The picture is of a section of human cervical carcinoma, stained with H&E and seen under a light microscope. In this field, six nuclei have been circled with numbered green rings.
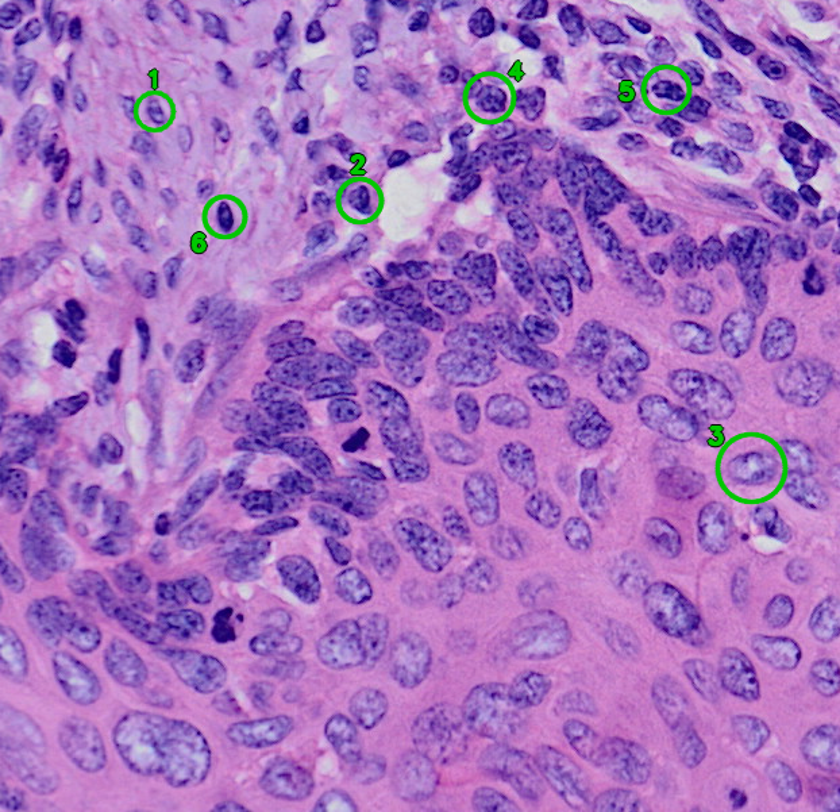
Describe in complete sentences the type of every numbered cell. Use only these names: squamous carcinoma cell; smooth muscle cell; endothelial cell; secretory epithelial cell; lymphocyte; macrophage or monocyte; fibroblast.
Cell 1 is a smooth muscle cell, cell 2 is a lymphocyte, cell 3 is a squamous carcinoma cell, cell 4 is a lymphocyte, cell 5 is a lymphocyte and cell 6 is a lymphocyte.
